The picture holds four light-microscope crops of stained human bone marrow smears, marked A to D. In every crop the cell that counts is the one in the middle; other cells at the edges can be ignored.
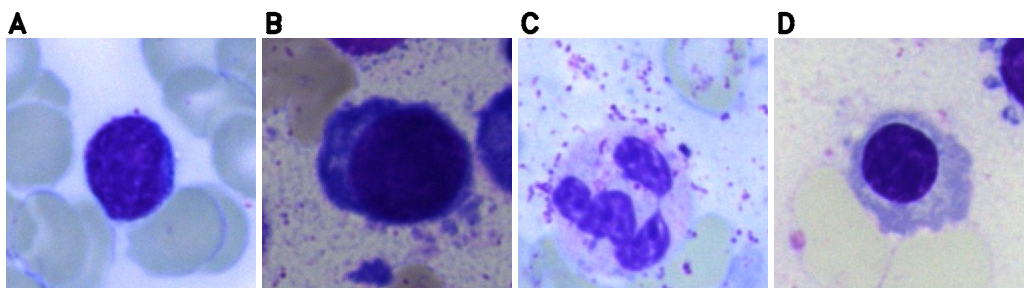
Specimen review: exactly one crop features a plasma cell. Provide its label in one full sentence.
Of all the crops, crop B is the one showing a plasma cell.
